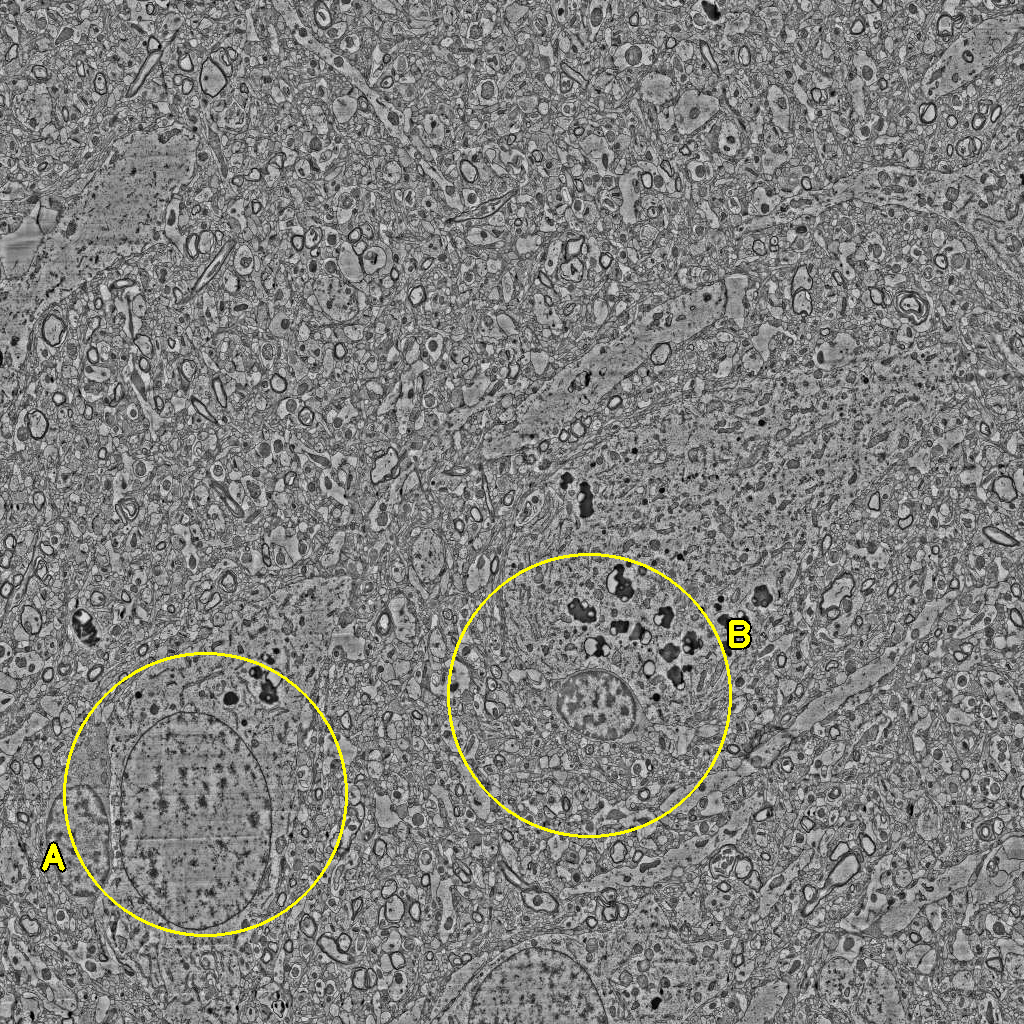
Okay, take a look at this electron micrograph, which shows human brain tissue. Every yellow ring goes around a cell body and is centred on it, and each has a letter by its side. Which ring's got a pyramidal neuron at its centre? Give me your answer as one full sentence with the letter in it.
The one you're after is ring A, centred on the cell you asked about.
